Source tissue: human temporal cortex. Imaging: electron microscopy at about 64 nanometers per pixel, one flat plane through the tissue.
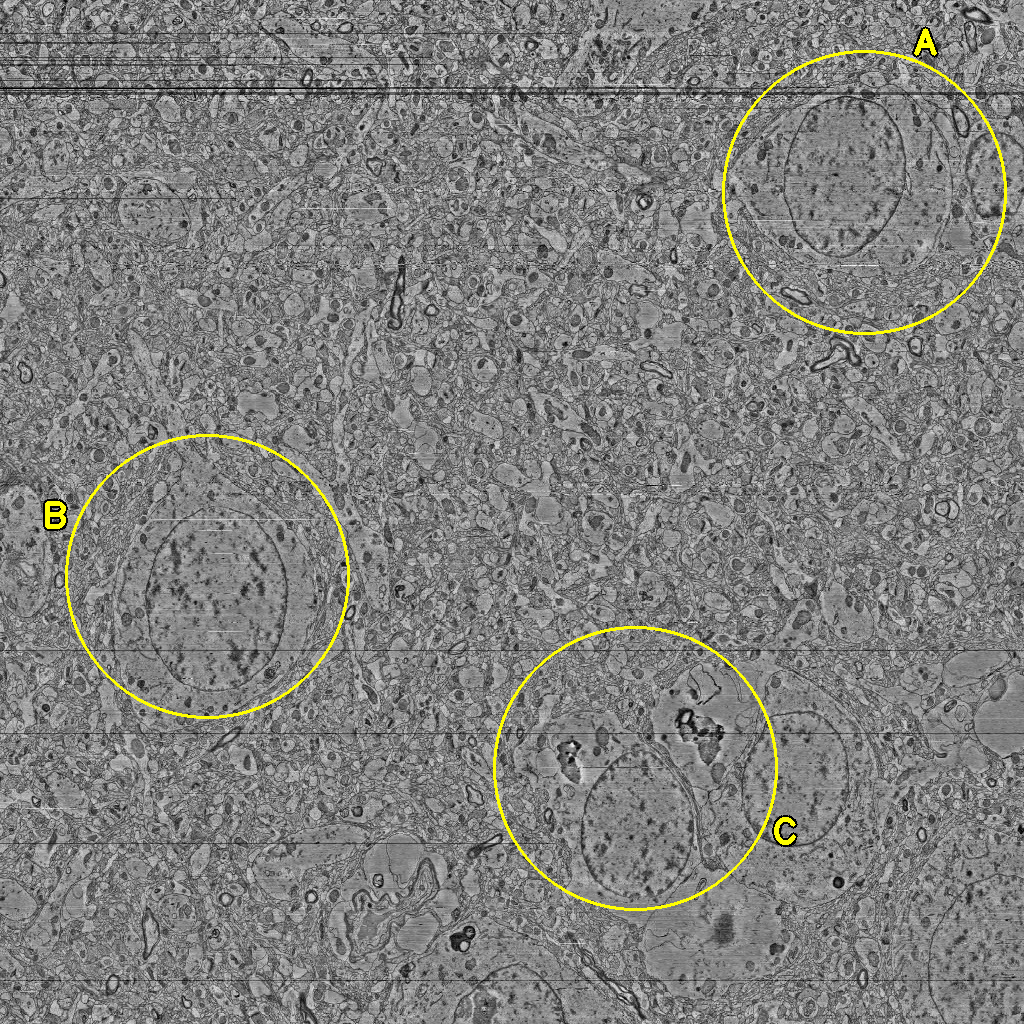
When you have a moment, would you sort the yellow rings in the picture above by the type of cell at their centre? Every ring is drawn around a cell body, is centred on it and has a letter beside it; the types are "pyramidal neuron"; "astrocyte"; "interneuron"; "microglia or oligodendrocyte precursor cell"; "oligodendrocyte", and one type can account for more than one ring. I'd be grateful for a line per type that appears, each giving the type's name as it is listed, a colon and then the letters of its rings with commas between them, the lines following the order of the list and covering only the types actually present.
pyramidal neuron: A, B
astrocyte: C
